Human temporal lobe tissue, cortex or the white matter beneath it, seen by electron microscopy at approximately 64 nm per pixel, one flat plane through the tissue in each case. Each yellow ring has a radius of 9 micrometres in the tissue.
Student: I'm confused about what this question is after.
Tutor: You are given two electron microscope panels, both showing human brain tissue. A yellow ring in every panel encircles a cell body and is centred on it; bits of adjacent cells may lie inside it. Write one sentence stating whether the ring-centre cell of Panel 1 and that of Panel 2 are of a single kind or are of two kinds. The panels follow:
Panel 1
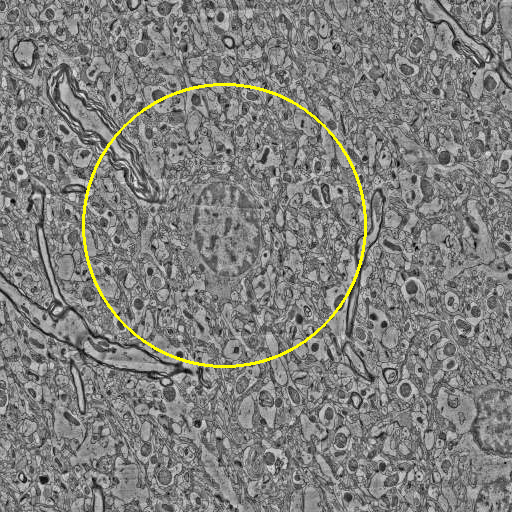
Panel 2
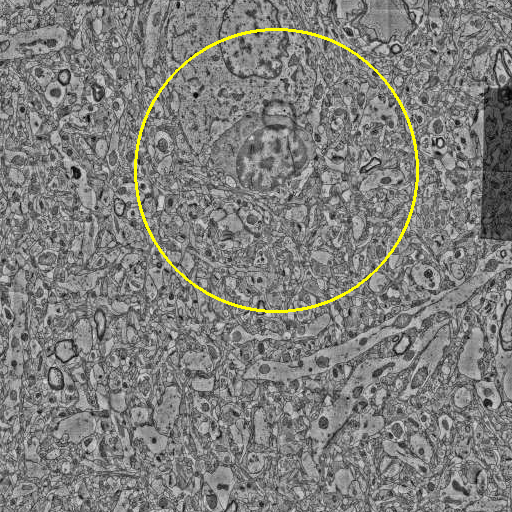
Here, the Panel 1 ring-centre cell and the Panel 2 ring-centre cell are of a single kind.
